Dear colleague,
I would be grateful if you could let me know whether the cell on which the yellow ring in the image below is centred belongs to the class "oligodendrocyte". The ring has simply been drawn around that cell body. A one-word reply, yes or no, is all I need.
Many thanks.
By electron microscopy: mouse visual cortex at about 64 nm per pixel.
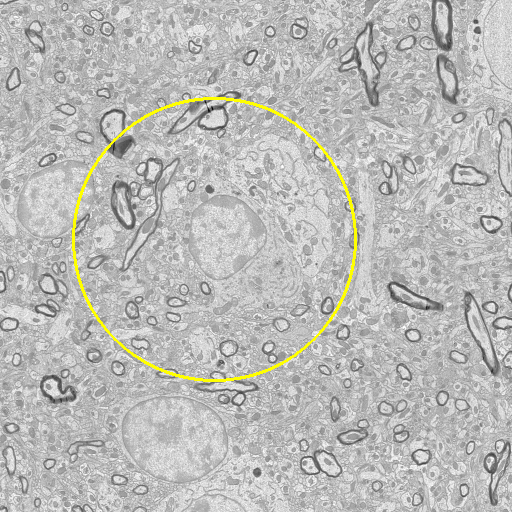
yes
